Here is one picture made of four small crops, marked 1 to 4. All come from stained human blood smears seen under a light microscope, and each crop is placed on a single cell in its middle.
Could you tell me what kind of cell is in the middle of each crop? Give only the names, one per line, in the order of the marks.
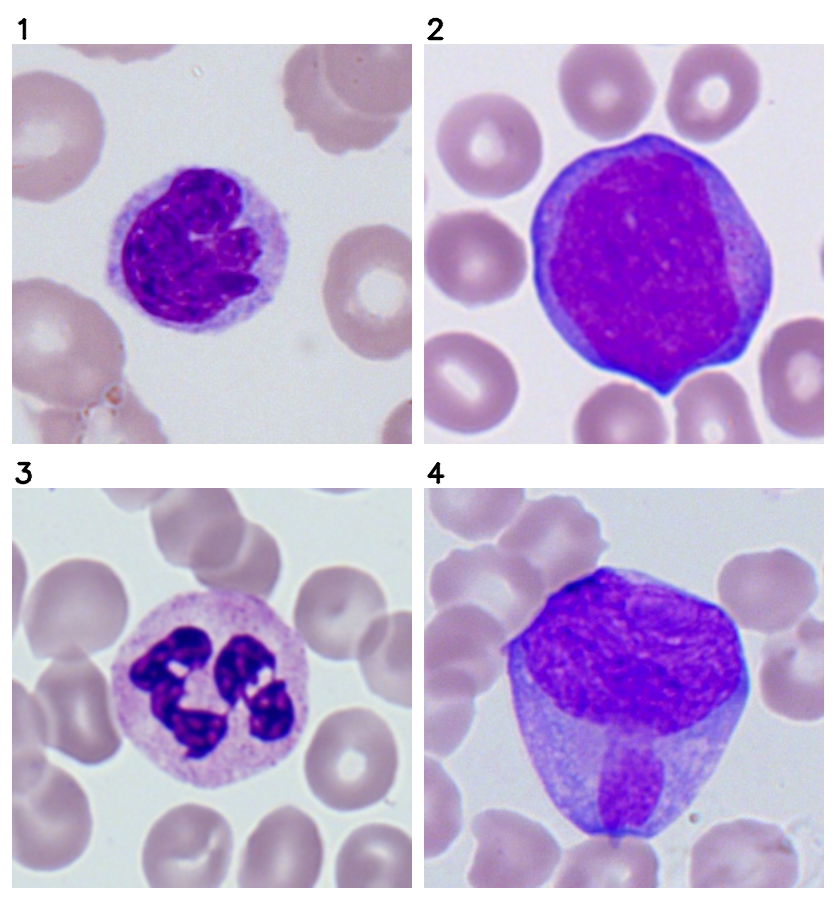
monocyte
myeloblast
segmented neutrophil
myeloblast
